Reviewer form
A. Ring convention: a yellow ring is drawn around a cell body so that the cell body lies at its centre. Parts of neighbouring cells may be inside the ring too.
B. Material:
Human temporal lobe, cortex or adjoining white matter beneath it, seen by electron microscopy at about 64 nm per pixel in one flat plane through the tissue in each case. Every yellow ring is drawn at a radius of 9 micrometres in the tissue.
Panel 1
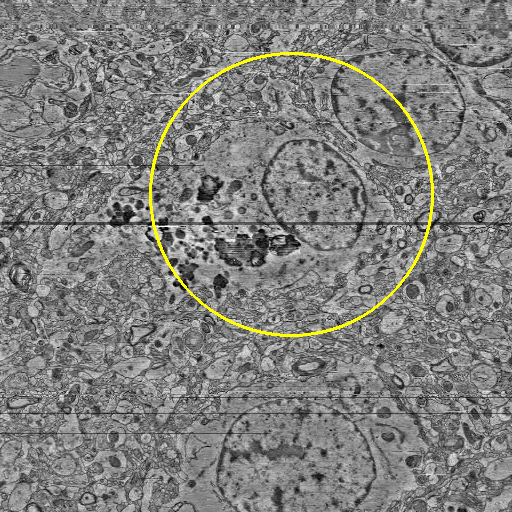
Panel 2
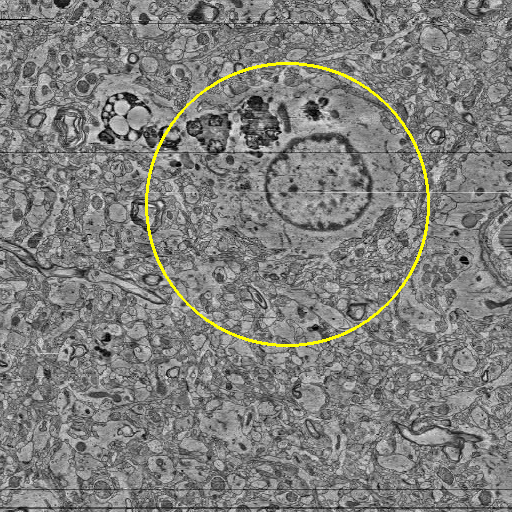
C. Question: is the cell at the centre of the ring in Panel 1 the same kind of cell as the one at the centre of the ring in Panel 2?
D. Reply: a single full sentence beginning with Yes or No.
Yes, the cells in Panel 1 and Panel 2 are the same kind of cell.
